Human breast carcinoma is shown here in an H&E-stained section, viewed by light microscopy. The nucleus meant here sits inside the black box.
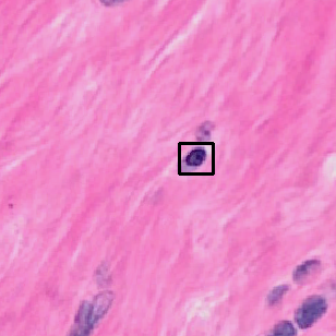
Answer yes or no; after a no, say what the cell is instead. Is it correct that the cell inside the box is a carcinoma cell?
No, it is a lymphocyte.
